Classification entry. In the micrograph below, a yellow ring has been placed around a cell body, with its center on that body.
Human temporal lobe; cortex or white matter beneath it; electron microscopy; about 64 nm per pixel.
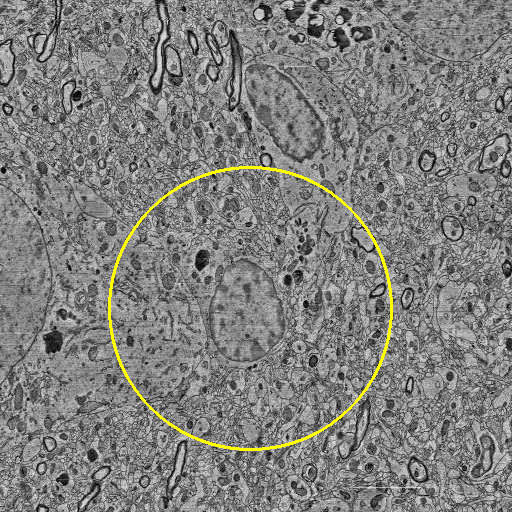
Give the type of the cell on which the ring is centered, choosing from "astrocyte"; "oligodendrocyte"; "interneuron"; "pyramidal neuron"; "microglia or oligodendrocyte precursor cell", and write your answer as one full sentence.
The cell body at the center of the yellow ring belongs to an oligodendrocyte.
